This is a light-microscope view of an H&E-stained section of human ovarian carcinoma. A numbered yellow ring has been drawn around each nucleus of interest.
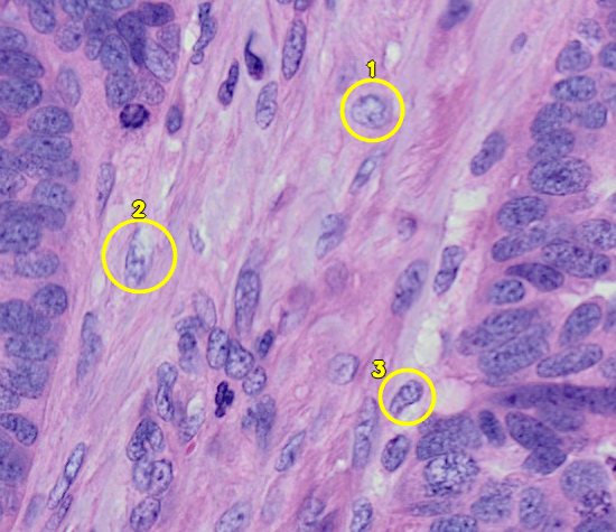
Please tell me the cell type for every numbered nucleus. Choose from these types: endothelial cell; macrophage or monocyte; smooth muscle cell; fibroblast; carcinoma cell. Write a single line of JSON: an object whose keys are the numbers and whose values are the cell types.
{"1": "fibroblast", "2": "fibroblast", "3": "macrophage or monocyte"}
